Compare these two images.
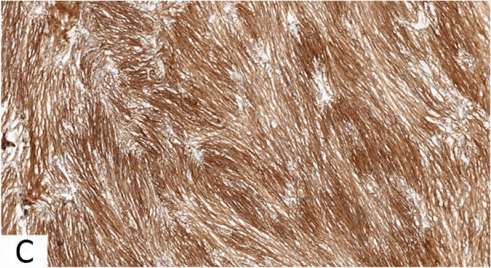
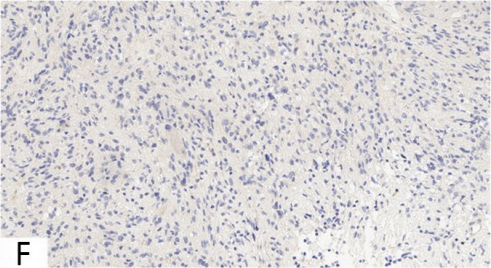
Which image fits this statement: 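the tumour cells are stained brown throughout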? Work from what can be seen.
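The first image. Second image: tumour cells show only blue nuclei with no brown stain. First image: dense, strong brown stain fills the cell fascicles across the whole field.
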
